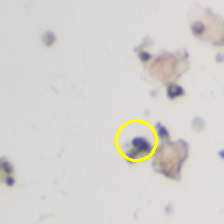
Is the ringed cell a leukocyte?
Yes, it is a leukocyte.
